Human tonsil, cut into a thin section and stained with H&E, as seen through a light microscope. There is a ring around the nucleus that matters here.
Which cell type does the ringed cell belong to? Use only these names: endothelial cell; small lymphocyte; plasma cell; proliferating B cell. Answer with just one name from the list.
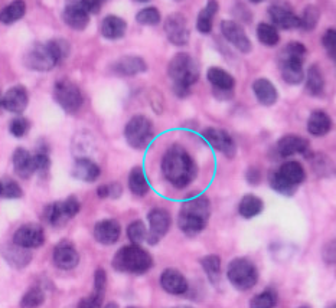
proliferating B cell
